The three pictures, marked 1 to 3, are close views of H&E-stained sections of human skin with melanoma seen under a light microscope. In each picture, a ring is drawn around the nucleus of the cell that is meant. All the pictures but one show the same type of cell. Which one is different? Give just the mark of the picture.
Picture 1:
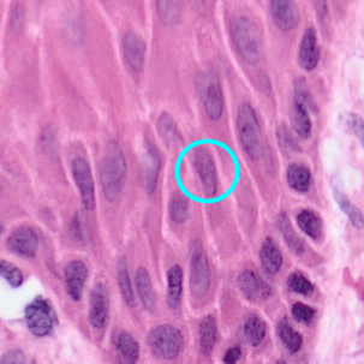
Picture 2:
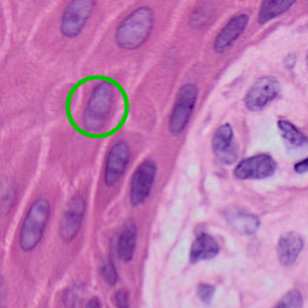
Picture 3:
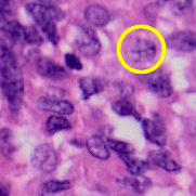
3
